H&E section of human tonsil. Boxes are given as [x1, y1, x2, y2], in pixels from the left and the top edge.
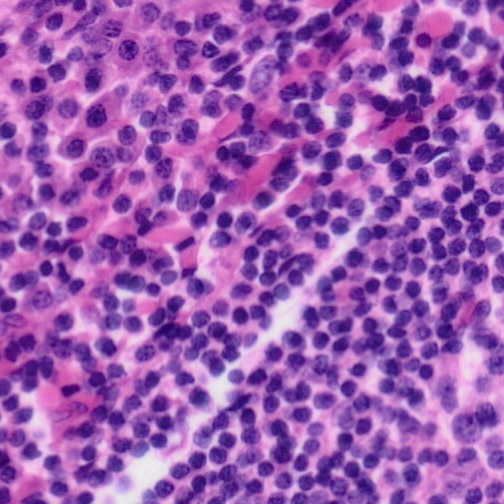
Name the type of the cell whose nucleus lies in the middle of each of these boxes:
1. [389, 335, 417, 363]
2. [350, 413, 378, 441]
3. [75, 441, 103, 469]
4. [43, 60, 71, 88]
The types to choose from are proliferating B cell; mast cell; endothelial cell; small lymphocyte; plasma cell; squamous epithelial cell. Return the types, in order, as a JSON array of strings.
["small lymphocyte", "small lymphocyte", "small lymphocyte", "plasma cell"]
